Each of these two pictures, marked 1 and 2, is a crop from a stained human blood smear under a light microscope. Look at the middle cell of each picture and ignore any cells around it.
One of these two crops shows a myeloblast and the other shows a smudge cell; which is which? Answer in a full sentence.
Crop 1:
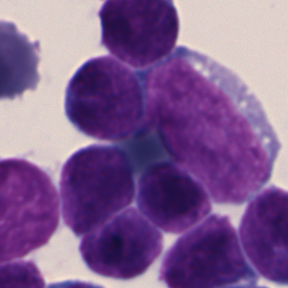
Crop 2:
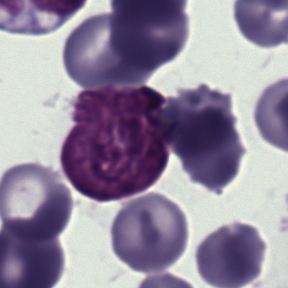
Crop 1 is a myeloblast, while a smudge cell is the cell in crop 2.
